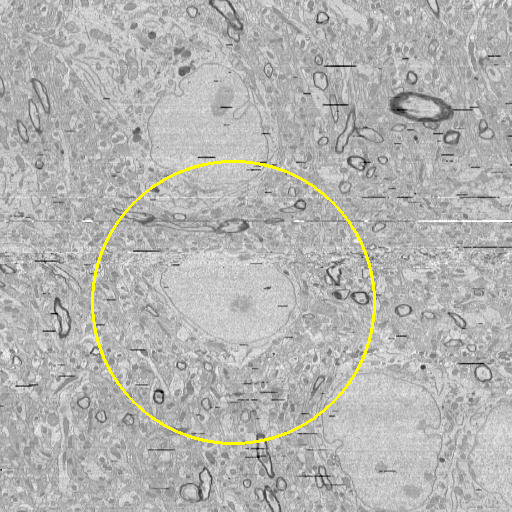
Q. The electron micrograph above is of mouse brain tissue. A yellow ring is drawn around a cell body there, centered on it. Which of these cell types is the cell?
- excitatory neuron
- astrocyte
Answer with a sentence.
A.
The cell under the ring's center is an excitatory neuron.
